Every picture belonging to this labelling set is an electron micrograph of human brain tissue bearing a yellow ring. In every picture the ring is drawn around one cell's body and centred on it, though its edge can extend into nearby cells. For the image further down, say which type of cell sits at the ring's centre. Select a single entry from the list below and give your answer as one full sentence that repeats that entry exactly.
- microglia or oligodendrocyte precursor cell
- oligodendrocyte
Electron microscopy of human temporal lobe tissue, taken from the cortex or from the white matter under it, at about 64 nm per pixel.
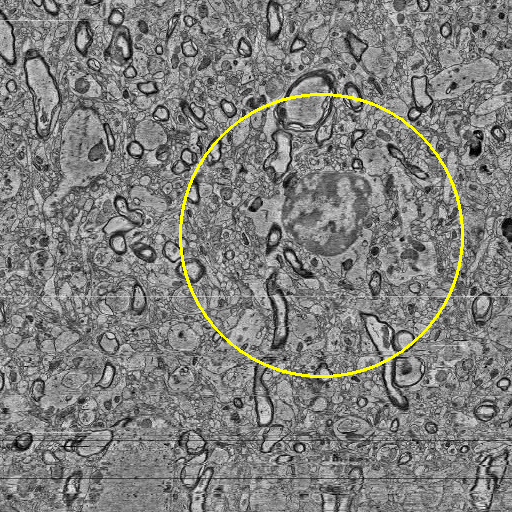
In the picture, a microglial cell or oligodendrocyte precursor cell is the cell at the centre of the yellow ring.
